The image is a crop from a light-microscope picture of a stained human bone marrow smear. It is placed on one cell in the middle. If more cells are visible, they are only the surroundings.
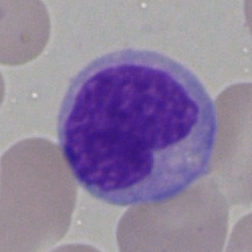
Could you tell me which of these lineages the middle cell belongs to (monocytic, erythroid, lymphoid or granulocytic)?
monocytic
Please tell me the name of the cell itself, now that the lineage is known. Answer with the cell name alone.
monocyte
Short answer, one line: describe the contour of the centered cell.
Nothing juts out from the margin, which is smooth throughout.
